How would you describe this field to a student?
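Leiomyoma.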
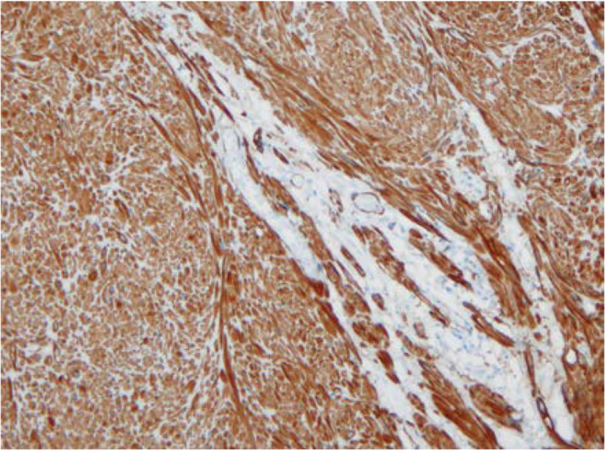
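This section of a smooth muscle tumor shows the tumor cells stained diffusely brown in their cytoplasm. They are arranged in bundles. On the left and in the upper right, the bundles are cut across and appear as densely packed brown rounded profiles. Through the middle runs a band of pale, loose stroma holding small vessels. Along this band, long brown spindle cells run lengthwise, singly and in narrow strands. Pale blue nuclei are scattered in the stroma, and a few vessel walls there are also outlined in brown.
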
